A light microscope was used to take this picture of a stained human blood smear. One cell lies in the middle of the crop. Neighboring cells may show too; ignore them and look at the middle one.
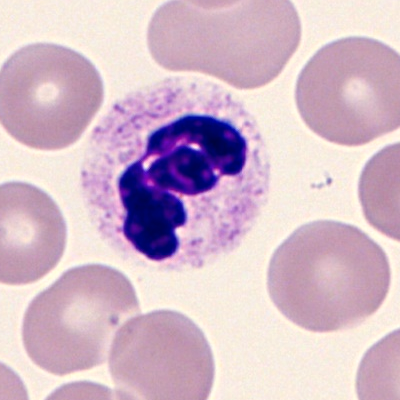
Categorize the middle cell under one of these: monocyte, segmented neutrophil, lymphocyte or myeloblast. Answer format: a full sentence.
The cell at the central position in this crop is a segmented neutrophil.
